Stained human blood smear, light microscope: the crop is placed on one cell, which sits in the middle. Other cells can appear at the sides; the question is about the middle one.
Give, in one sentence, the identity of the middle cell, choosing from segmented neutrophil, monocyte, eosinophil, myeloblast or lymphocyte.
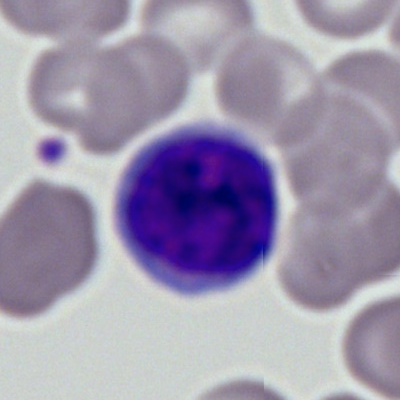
In the middle of this smear crop, the cell is a lymphocyte.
